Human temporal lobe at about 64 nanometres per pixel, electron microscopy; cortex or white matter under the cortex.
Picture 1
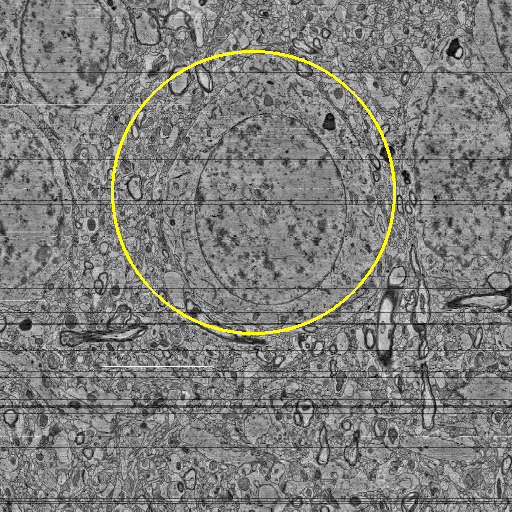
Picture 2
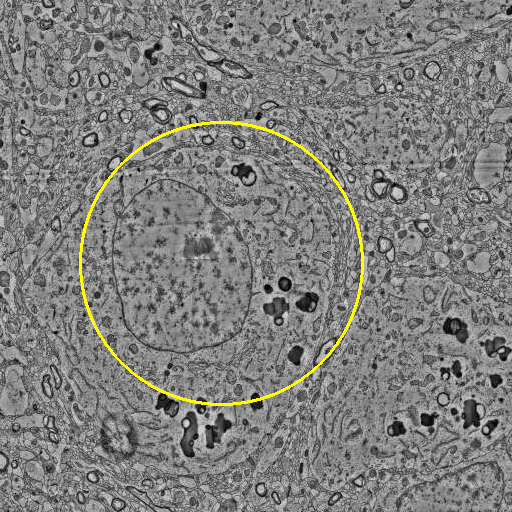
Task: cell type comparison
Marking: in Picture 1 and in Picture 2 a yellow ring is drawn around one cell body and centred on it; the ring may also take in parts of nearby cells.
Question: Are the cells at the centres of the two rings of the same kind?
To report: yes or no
yes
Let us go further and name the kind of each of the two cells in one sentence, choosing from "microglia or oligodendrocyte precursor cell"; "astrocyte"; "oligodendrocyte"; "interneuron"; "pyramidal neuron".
In both pictures the ring is centred on a pyramidal neuron.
